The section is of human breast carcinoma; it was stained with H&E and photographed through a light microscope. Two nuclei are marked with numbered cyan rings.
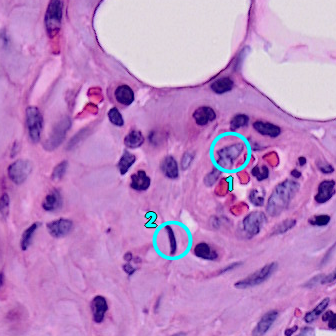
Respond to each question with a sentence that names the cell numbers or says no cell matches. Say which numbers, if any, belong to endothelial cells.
Of the cells bearing numbers, the only one that is an endothelial cell is cell 1.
